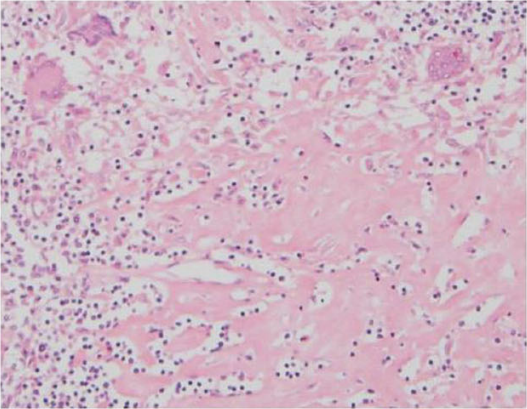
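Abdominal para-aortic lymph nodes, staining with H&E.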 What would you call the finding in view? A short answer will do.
Hyalinized lesions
